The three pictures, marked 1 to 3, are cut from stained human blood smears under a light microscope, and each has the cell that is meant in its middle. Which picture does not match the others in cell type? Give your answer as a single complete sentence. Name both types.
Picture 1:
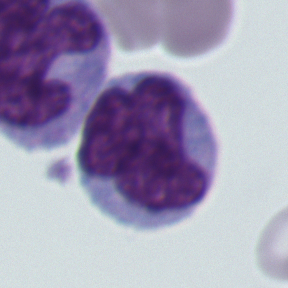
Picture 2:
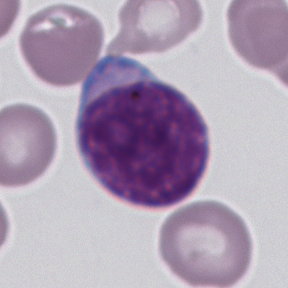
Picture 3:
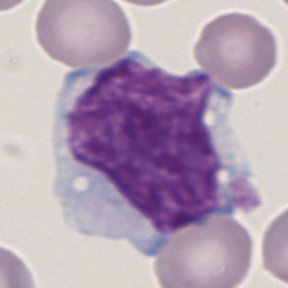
Unlike the rest, which show myeloblasts, picture 1 shows a monocyte.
